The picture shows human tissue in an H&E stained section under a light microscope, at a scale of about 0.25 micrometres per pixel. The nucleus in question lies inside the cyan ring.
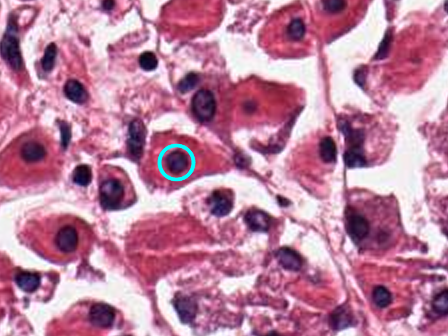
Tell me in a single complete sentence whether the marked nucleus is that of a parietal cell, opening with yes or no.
Yes, in this image it is a parietal cell that contains the marked nucleus.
